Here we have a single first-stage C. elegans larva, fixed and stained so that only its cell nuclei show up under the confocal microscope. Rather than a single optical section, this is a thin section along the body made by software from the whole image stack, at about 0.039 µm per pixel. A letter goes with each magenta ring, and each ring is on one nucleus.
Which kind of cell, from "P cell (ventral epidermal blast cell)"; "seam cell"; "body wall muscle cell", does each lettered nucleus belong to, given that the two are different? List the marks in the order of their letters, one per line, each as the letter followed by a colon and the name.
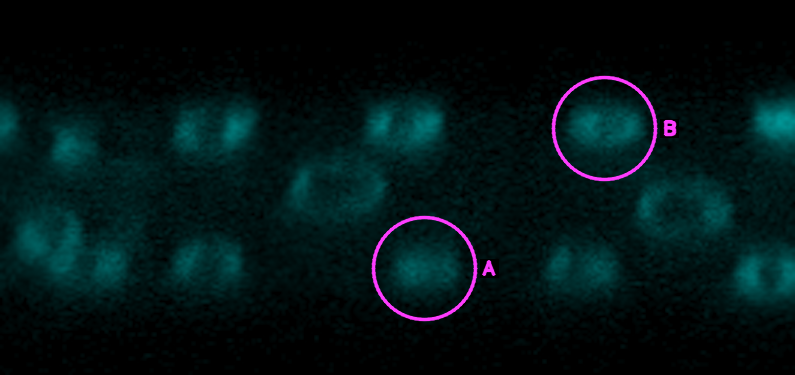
A: P cell (ventral epidermal blast cell)
B: seam cell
